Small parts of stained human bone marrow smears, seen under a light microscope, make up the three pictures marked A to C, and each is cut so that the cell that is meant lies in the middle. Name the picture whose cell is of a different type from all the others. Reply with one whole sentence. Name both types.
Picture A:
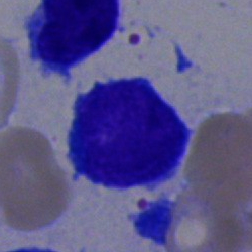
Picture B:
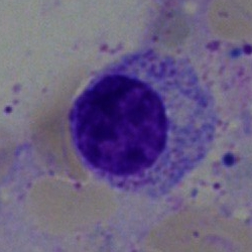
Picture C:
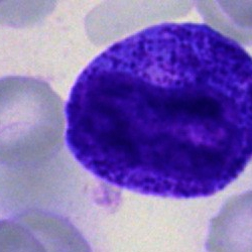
Picture A differs, because its cell is a blast and the rest are myelocytes.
